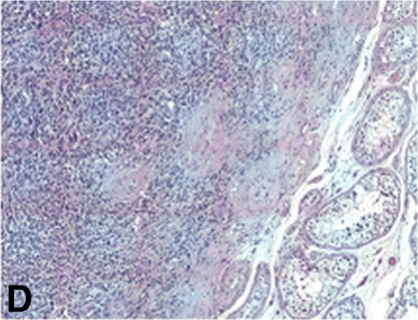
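Here a dense sheet of small tumor cells invades testicular tissue. A pale band of fibrous stroma lies between the tumor sheet and the native tissue. At the right edge, round tubular profiles of the testis are still seen, lined by layered cells and separated by loose interstitial tissue. The tumor thus pushes into the parenchyma and displaces the normal tubules.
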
